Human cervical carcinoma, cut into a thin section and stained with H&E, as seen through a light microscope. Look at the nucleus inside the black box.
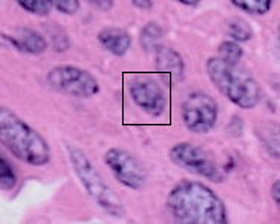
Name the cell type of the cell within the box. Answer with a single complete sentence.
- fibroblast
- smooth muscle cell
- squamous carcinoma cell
As for its identity, the cell within the box is a squamous carcinoma cell.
